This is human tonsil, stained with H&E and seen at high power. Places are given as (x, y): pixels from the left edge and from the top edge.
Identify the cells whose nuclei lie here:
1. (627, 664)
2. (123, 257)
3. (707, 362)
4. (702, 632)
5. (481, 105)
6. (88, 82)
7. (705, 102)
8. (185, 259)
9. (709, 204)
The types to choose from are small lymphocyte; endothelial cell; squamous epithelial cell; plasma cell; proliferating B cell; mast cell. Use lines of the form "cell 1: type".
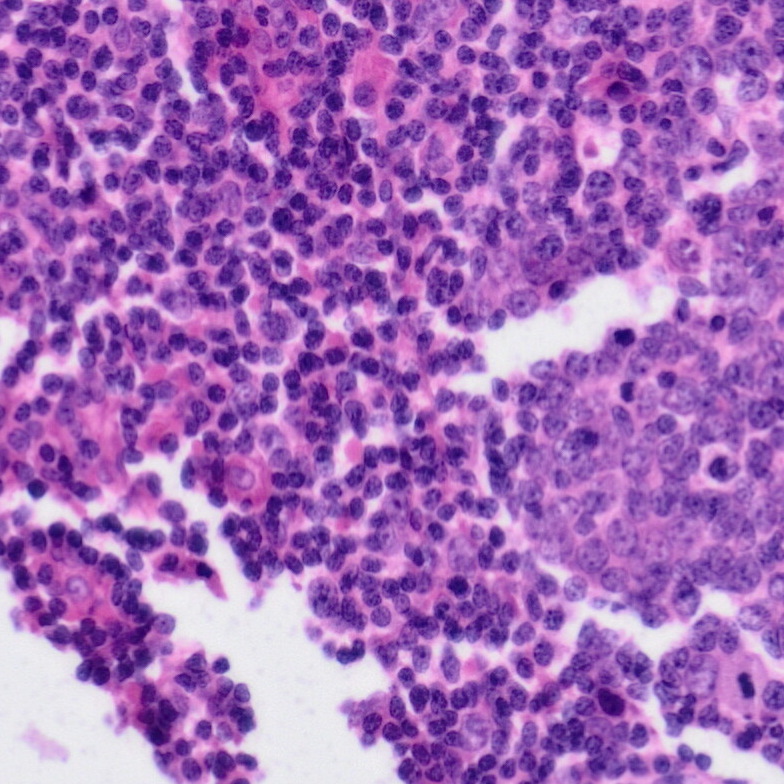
cell 1: proliferating B cell
cell 2: small lymphocyte
cell 3: proliferating B cell
cell 4: proliferating B cell
cell 5: small lymphocyte
cell 6: small lymphocyte
cell 7: proliferating B cell
cell 8: small lymphocyte
cell 9: proliferating B cell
